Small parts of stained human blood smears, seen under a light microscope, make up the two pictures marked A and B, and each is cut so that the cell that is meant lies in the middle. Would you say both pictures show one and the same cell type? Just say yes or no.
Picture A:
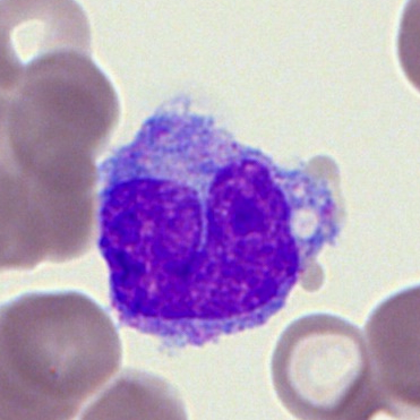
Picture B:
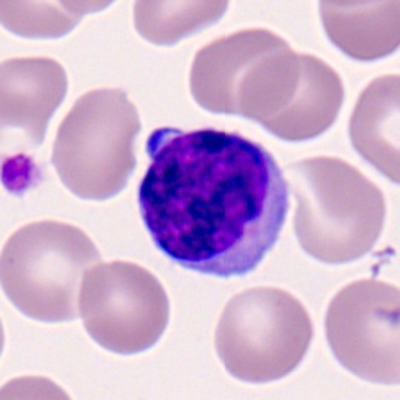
no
